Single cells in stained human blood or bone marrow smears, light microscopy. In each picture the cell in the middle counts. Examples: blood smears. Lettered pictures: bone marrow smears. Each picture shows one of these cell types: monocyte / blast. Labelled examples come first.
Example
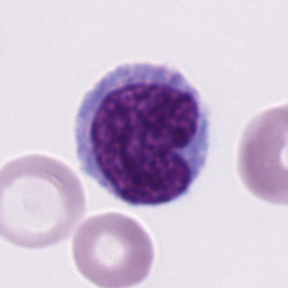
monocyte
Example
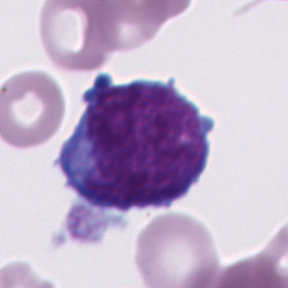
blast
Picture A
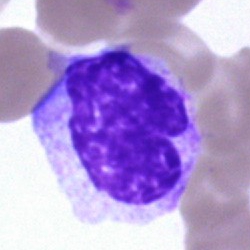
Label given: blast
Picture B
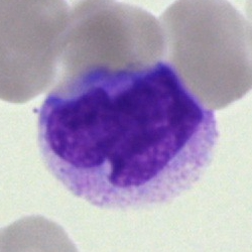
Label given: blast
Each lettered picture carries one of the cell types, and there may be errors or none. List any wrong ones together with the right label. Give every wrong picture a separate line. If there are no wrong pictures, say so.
A: not blast but monocyte
B: not blast but monocyte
